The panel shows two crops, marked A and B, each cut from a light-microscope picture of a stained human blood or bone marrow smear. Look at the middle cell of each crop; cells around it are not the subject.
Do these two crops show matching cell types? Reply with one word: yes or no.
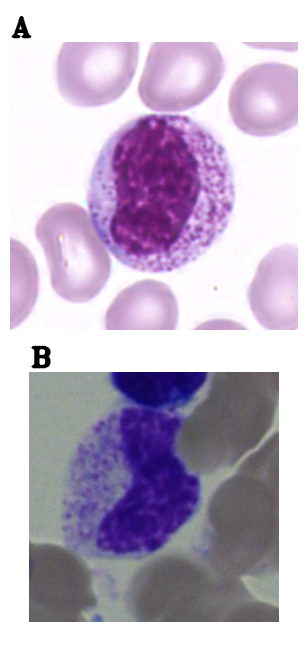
yes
